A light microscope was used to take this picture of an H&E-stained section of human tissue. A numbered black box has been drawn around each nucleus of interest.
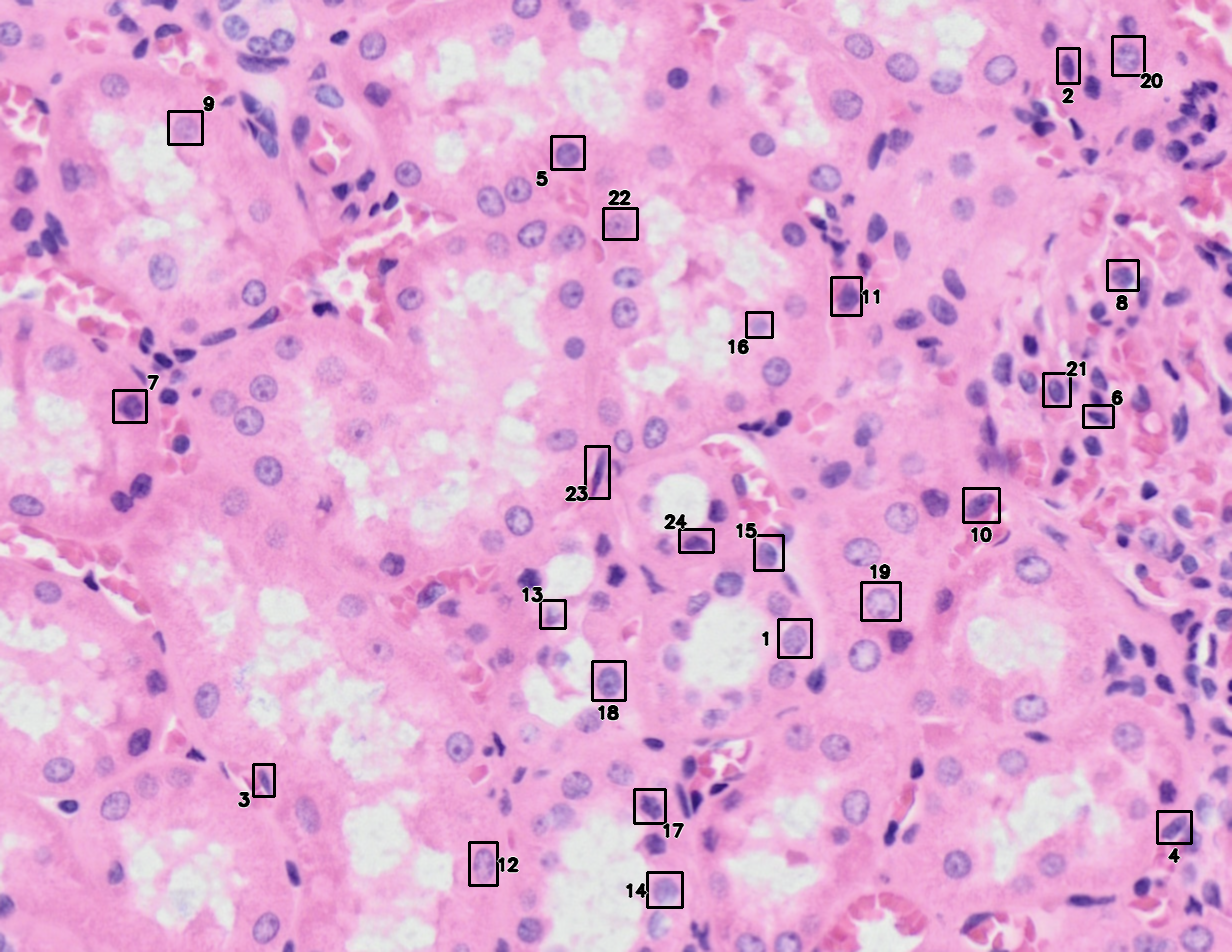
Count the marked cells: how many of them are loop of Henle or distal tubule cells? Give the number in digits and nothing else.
8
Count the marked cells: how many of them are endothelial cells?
9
